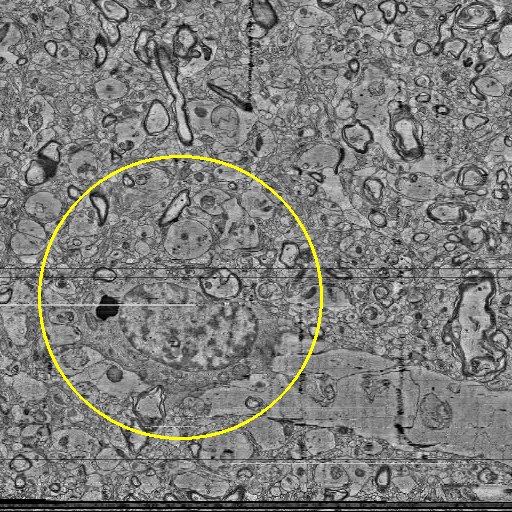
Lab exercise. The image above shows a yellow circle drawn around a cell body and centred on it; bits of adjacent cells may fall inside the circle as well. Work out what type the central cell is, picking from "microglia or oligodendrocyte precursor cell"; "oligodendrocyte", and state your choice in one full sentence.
In the image above, the cell at the centre of the yellow circle is an oligodendrocyte.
